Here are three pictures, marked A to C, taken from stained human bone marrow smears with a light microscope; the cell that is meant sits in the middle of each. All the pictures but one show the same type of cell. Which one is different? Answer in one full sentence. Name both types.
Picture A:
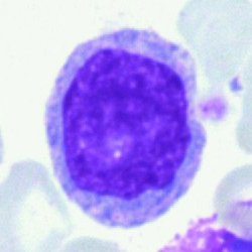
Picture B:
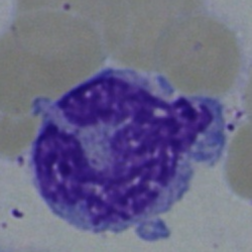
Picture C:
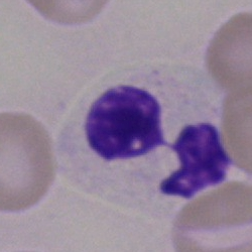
All pictures except C show monocytes; picture C shows a segmented neutrophil.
